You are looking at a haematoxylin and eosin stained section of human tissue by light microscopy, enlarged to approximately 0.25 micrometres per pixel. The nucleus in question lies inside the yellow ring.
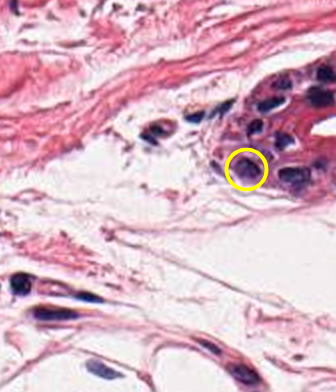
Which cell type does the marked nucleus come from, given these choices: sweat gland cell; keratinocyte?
sweat gland cell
